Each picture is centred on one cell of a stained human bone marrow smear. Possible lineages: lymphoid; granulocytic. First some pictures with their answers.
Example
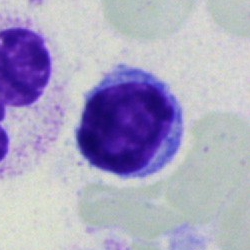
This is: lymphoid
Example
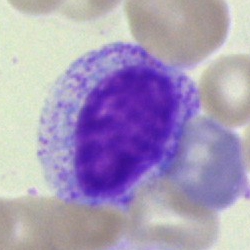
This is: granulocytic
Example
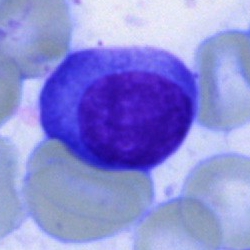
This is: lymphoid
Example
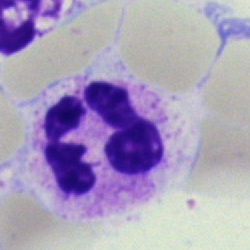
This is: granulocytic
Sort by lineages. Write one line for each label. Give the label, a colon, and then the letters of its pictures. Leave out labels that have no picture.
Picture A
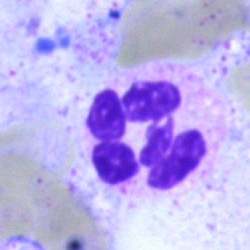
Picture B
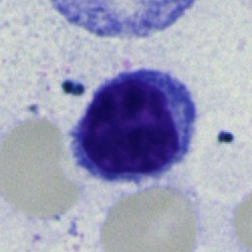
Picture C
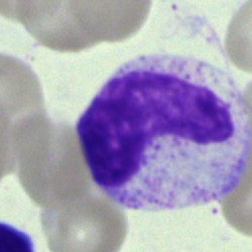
lymphoid: B
granulocytic: A, C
